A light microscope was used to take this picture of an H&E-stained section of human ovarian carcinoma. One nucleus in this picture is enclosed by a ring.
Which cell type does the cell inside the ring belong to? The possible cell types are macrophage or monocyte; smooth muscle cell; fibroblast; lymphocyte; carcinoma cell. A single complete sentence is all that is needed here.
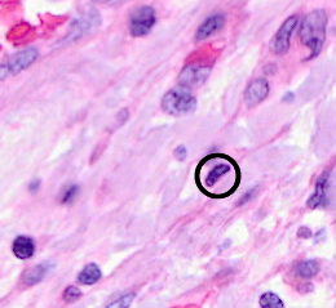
The identity of the cell inside the ring is that of a lymphocyte.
